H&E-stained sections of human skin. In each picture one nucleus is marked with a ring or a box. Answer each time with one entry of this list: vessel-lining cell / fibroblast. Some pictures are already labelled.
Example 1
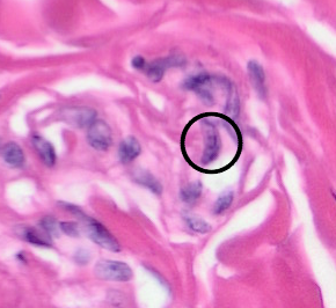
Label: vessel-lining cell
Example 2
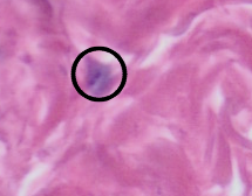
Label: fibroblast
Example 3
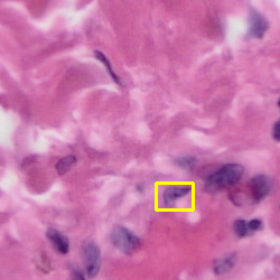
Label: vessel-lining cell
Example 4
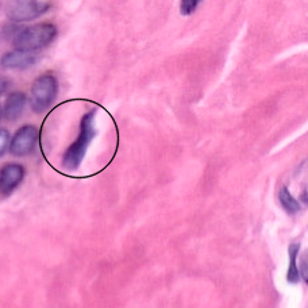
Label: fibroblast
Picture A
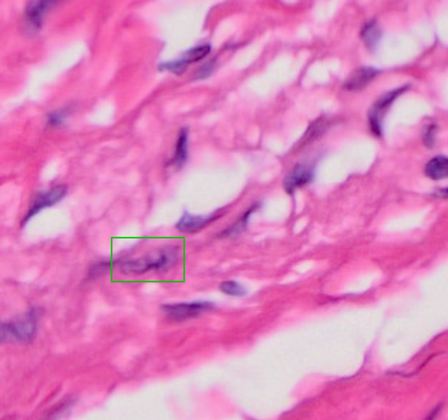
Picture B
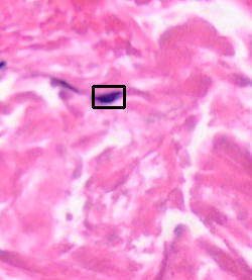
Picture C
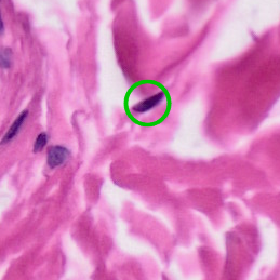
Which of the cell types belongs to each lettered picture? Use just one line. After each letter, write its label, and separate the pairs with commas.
A vessel-lining cell, B fibroblast, C fibroblast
